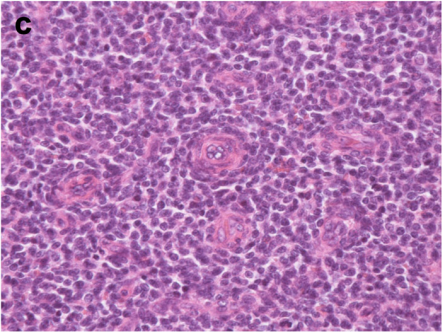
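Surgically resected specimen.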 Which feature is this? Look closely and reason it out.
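Whorl-like pattern. Small thick-walled vessels with pink walls lie among densely packed cells. Oval cells are arranged concentrically around these small vessels.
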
